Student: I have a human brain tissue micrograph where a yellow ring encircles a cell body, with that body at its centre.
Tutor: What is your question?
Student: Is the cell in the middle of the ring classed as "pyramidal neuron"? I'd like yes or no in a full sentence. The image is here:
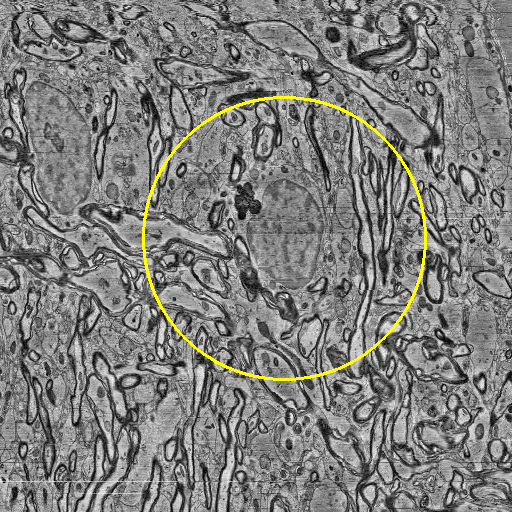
No, the ringed cell in the middle counts as another kind.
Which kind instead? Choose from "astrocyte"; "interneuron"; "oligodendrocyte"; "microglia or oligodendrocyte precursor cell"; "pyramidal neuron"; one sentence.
Instead, what sits at the centre of the ring is an oligodendrocyte.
